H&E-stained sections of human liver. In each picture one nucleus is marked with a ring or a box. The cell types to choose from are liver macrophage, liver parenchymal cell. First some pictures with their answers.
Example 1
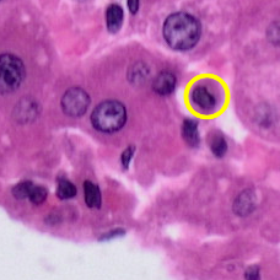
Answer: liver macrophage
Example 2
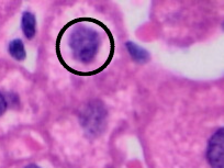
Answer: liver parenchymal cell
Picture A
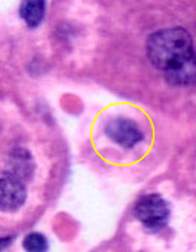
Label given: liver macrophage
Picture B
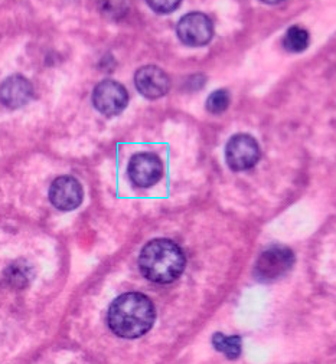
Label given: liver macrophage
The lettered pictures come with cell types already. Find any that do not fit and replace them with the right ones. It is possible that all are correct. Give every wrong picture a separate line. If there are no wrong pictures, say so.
B is labelled liver macrophage; correct label: liver parenchymal cell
